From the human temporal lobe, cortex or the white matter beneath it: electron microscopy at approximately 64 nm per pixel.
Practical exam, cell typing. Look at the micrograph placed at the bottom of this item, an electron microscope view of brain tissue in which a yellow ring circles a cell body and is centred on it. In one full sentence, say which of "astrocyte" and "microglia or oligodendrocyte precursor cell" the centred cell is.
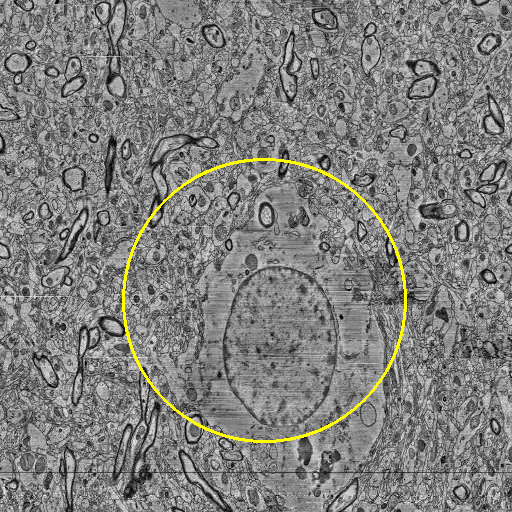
Given the options, an astrocyte fits the cell whose body the yellow ring is centred on.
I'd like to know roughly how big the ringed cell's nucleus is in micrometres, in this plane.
In this plane, roughly 11 by 7 micrometres.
